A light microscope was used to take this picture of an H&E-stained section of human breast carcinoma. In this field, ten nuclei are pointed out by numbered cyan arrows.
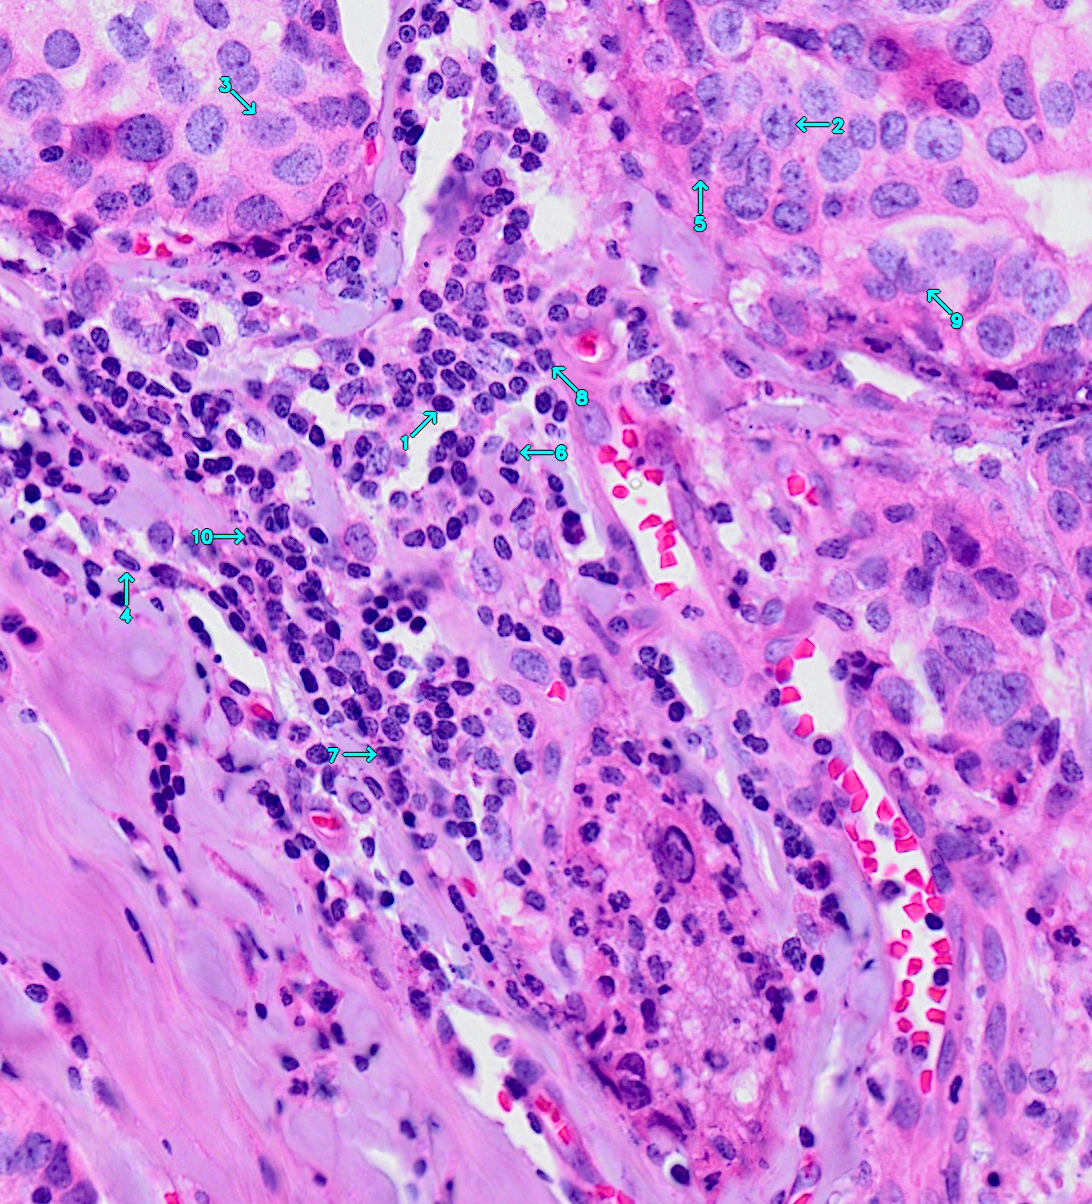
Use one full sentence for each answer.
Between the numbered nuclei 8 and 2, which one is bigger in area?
It is nucleus 2, which covers about 3 times the area of nucleus 8.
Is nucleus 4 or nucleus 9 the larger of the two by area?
Nucleus 9 is larger, with an area about 2 times that of nucleus 4.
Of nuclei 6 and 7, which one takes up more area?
The larger nucleus is 7, at roughly 1.5 times the area of 6.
